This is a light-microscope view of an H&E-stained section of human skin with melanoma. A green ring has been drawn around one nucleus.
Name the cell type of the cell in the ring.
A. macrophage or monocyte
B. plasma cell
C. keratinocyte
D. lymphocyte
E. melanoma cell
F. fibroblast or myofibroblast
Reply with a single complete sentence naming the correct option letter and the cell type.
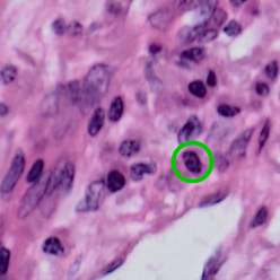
As stated in option B, the cell in the ring is a plasma cell.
